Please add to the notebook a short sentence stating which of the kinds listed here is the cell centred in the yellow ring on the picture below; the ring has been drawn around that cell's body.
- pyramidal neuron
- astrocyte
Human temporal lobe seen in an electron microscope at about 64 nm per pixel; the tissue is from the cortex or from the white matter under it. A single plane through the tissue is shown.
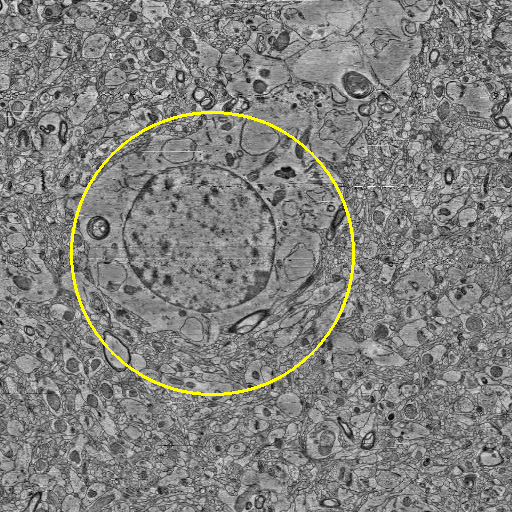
The cell centred in the yellow ring is an astrocyte.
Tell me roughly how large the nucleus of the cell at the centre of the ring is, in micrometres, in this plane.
About 10 micrometers across, in this plane.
